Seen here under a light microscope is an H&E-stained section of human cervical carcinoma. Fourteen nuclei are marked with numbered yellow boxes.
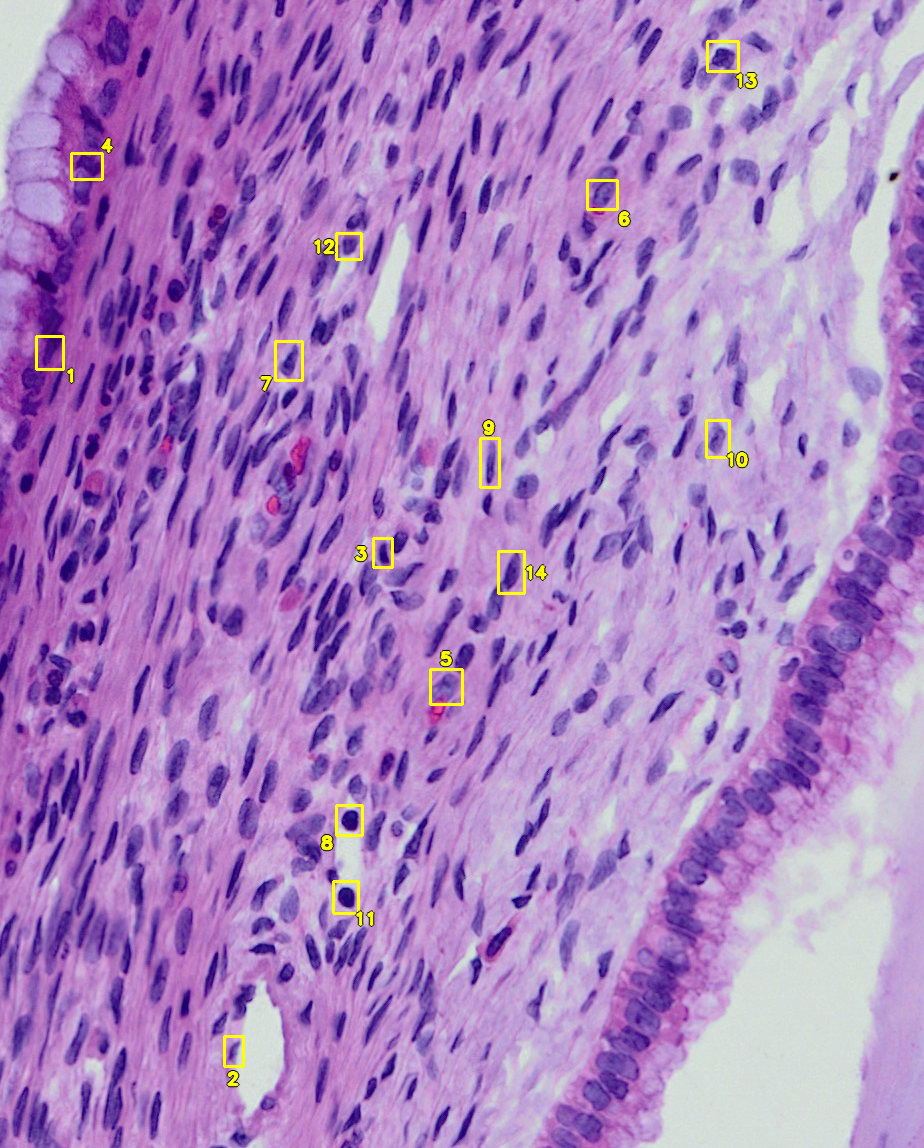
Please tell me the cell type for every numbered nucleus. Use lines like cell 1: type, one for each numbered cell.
cell 1: secretory epithelial cell
cell 2: endothelial cell
cell 3: lymphocyte
cell 4: secretory epithelial cell
cell 5: endothelial cell
cell 6: endothelial cell
cell 7: fibroblast
cell 8: lymphocyte
cell 9: fibroblast
cell 10: fibroblast
cell 11: lymphocyte
cell 12: lymphocyte
cell 13: lymphocyte
cell 14: fibroblast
